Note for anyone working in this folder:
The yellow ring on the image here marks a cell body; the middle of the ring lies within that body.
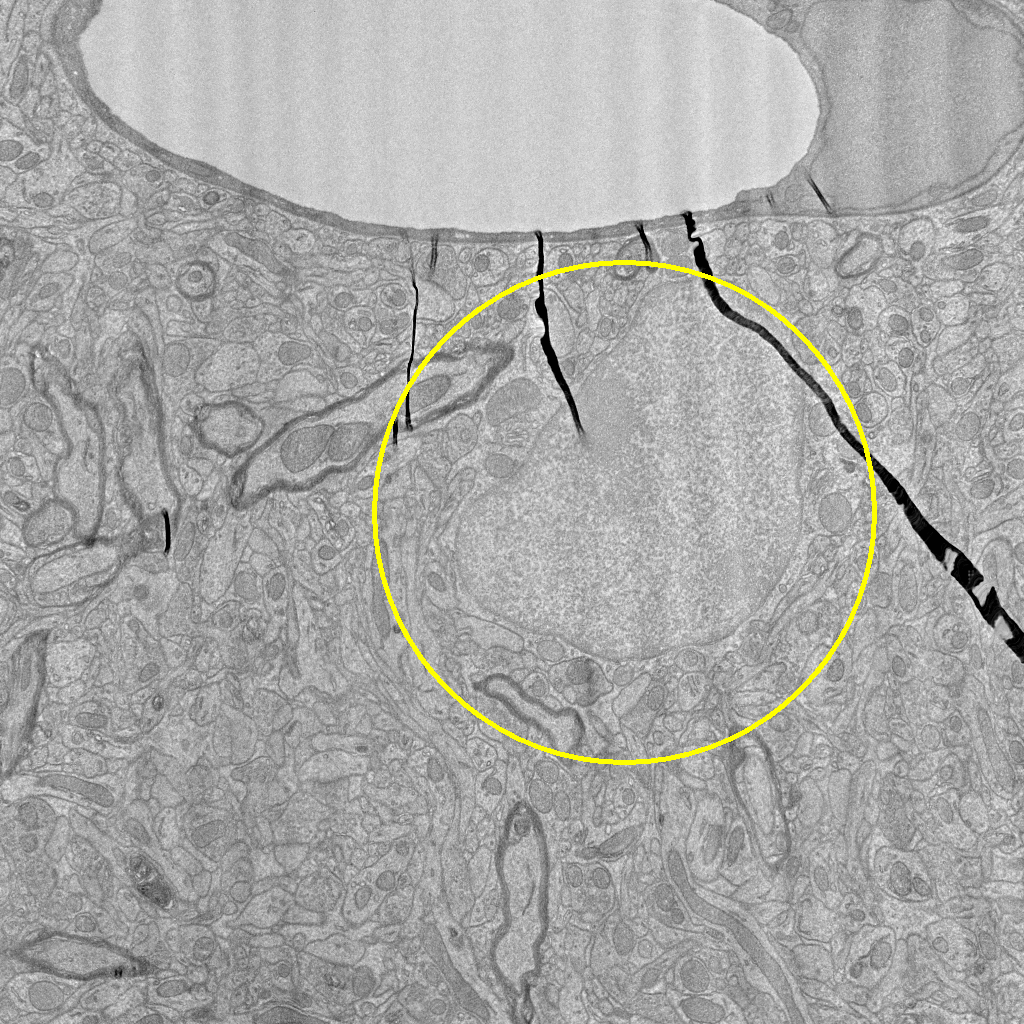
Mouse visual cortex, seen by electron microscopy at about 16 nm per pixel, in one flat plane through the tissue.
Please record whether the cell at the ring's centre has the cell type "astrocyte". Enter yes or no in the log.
yes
